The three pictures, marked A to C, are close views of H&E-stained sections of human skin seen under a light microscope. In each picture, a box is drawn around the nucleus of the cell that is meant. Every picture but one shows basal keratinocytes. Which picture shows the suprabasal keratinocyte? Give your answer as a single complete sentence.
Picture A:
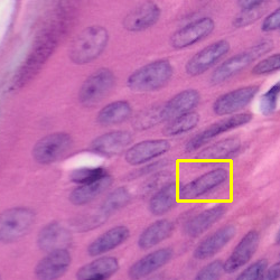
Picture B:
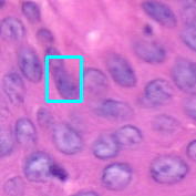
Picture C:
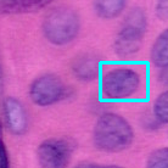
Picture C shows the suprabasal keratinocyte.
